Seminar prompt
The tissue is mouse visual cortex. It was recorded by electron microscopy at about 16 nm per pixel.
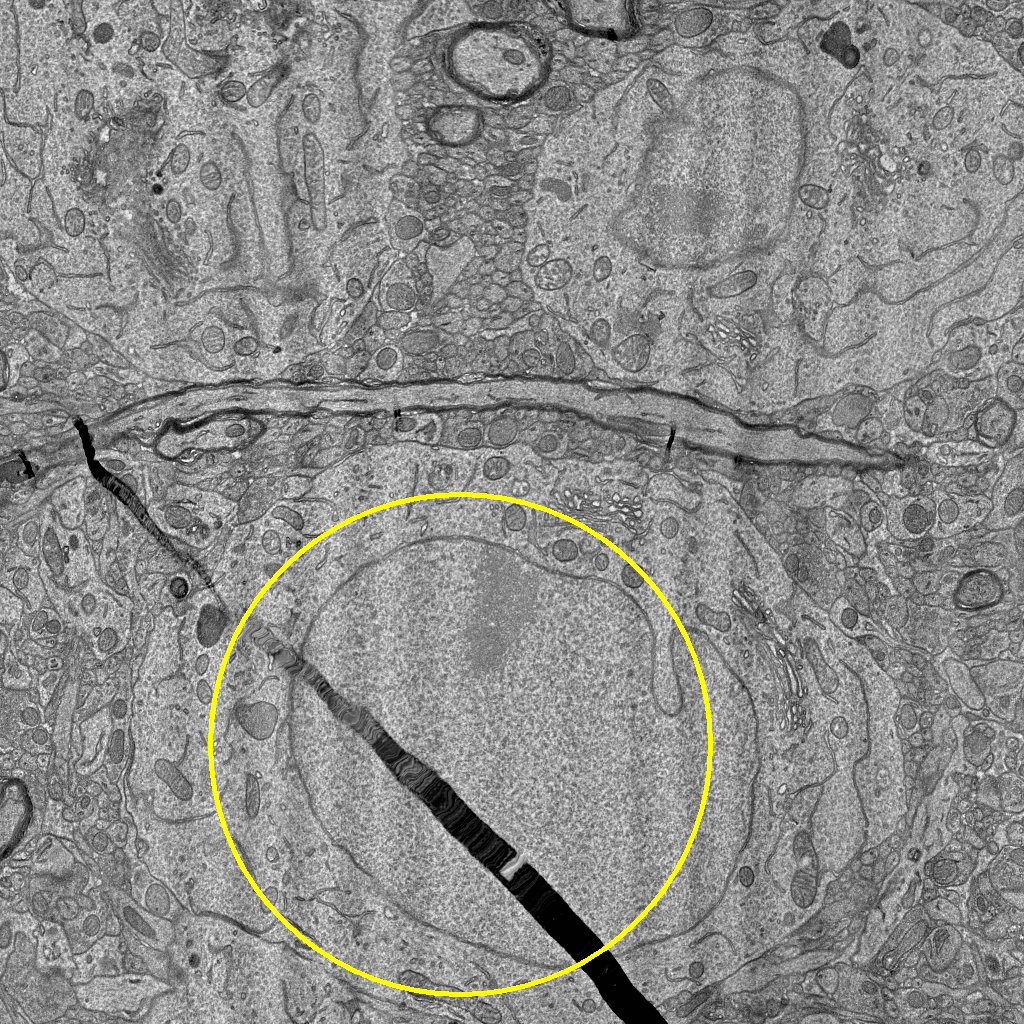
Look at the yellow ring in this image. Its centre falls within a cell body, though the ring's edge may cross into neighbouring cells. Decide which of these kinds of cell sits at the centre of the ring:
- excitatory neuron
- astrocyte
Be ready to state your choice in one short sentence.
The kind of cell at the ring's centre is an excitatory neuron.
